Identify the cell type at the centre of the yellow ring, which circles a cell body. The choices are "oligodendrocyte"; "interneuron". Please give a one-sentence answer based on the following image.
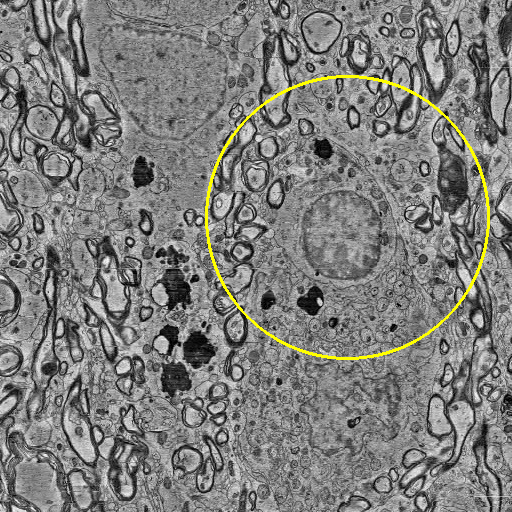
The cell marked by the ring is an oligodendrocyte.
